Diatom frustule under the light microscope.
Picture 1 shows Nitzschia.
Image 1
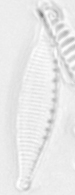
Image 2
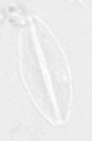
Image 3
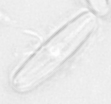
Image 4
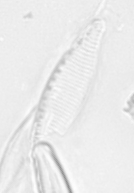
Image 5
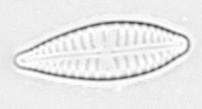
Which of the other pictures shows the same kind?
Picture 4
